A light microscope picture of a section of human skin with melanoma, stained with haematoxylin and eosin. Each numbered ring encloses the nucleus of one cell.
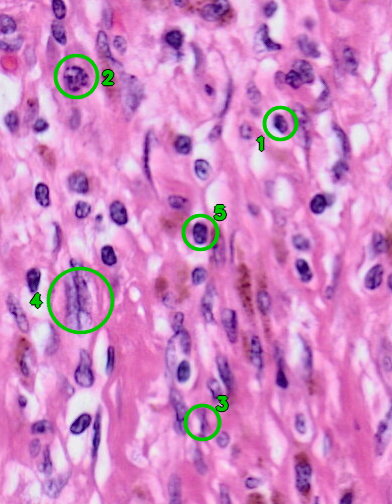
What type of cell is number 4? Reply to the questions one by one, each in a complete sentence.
In this section, the cell tagged 4 is an endothelial cell.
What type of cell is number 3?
Number 3 is placed on a fibroblast or myofibroblast here.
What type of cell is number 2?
The cell whose nucleus carries the number 2 is a plasma cell.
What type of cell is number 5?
The numbered cell 5 in this field is a lymphocyte.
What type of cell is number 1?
Cell 1 should be recorded as a lymphocyte.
